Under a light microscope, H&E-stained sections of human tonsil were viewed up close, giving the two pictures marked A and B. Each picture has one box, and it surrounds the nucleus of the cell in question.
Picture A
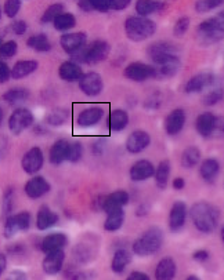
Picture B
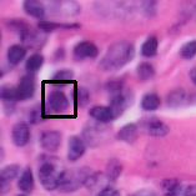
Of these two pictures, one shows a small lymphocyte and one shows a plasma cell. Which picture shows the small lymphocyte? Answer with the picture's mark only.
B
